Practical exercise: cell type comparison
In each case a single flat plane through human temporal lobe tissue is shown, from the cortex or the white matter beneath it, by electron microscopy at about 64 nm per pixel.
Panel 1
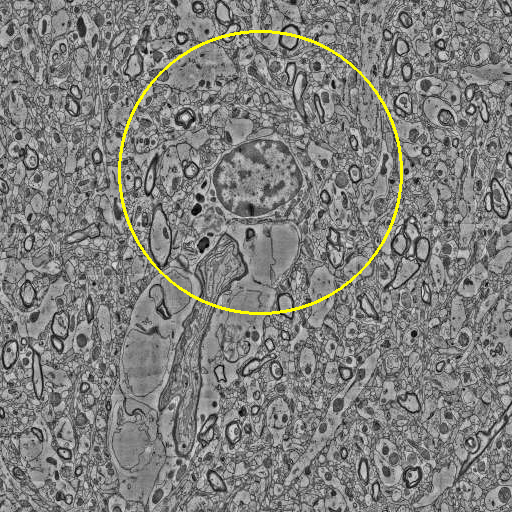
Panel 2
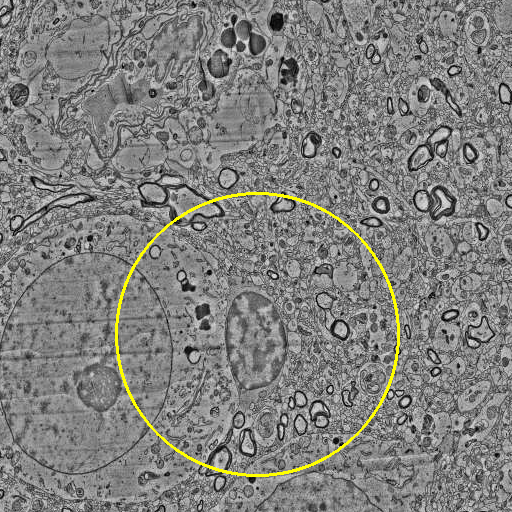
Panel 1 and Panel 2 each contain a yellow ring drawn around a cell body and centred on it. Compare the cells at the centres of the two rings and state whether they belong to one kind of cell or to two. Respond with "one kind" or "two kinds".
two kinds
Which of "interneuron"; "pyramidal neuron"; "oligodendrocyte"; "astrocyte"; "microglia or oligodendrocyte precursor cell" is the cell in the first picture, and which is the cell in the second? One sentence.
The two differ: the first cell is a microglial cell or oligodendrocyte precursor cell and the second is an oligodendrocyte.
